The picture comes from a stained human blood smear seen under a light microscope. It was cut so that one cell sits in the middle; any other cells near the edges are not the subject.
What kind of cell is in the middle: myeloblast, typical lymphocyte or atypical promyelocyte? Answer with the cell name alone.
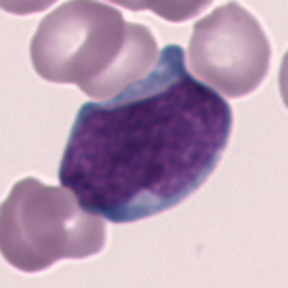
myeloblast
